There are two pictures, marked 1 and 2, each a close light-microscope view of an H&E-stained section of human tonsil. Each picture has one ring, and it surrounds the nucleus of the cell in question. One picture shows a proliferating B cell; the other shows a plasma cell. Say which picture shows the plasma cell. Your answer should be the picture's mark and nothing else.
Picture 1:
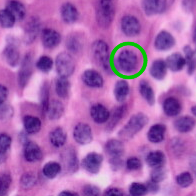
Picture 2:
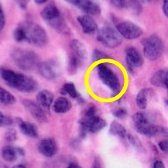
1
